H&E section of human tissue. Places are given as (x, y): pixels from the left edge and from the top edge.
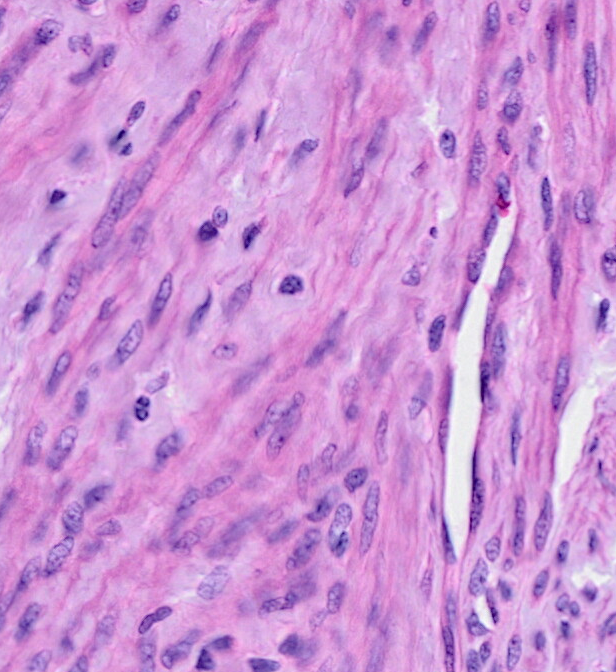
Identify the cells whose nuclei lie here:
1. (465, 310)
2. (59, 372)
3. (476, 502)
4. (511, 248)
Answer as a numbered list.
1. endothelial cell
2. smooth muscle cell
3. endothelial cell
4. endothelial cell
